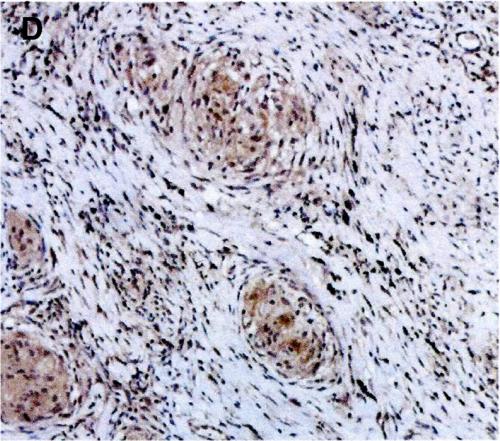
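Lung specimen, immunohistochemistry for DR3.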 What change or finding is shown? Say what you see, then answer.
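Round nodules of pale brown cells are embedded in dense tissue. The tissue between the nodules is packed with elongated spindle-shaped nuclei in swirling bundles. No open airspaces are seen.
Hence: marked fibrosis.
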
